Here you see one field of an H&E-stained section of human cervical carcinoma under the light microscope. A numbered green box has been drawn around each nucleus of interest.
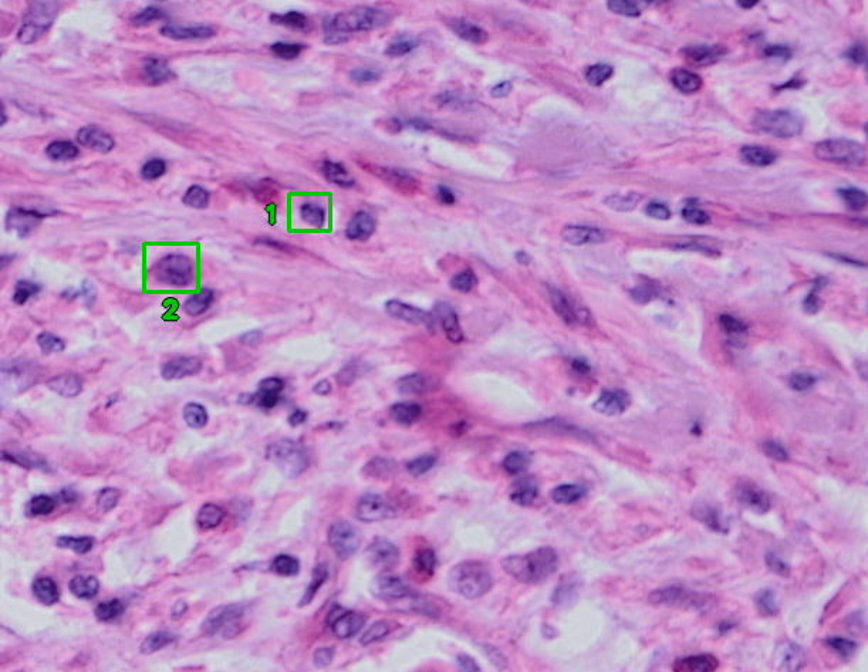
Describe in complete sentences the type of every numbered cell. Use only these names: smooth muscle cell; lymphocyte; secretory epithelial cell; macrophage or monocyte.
Cell 1 is a lymphocyte and cell 2 is a macrophage or monocyte.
